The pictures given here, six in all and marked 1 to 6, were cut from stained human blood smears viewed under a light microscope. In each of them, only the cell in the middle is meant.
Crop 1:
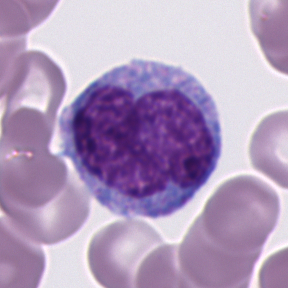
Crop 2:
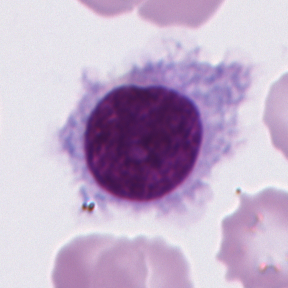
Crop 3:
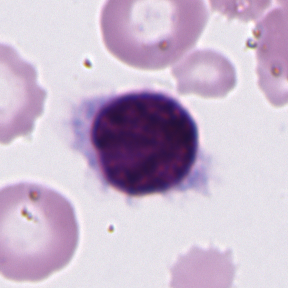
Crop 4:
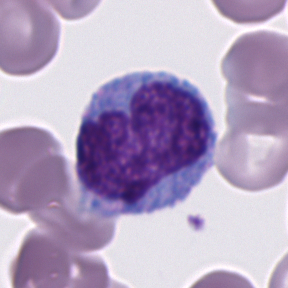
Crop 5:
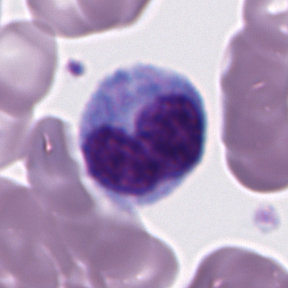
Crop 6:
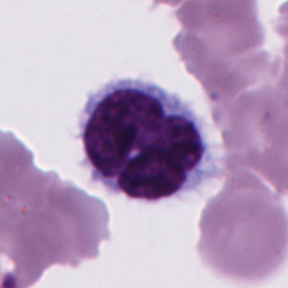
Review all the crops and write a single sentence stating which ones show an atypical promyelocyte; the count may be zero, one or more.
Of all the crops given, none shows an atypical promyelocyte.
